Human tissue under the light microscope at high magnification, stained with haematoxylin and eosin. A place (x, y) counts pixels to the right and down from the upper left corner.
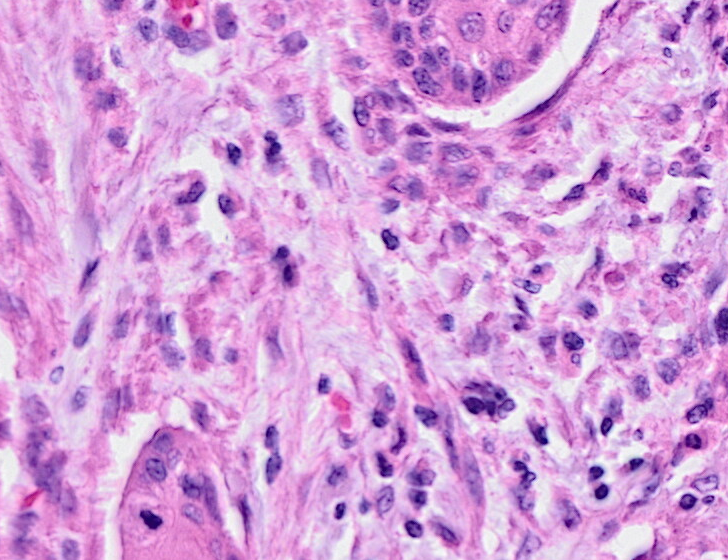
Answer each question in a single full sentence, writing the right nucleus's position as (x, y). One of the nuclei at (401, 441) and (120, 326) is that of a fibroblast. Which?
Of these two nuclei, only the one at (120, 326) belongs to a fibroblast.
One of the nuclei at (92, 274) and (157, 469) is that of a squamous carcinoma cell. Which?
It is the nucleus at (157, 469), not the other one, that belongs to a squamous carcinoma cell.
